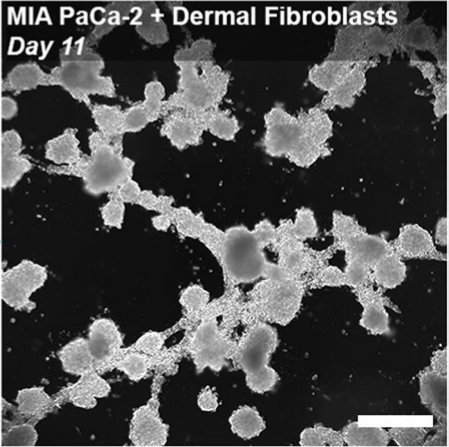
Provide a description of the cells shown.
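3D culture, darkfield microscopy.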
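Rounded cell masses of various sizes are connected by elongated, branching strands of cells. Together they make an irregular, interconnected network rather than isolated round clusters.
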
